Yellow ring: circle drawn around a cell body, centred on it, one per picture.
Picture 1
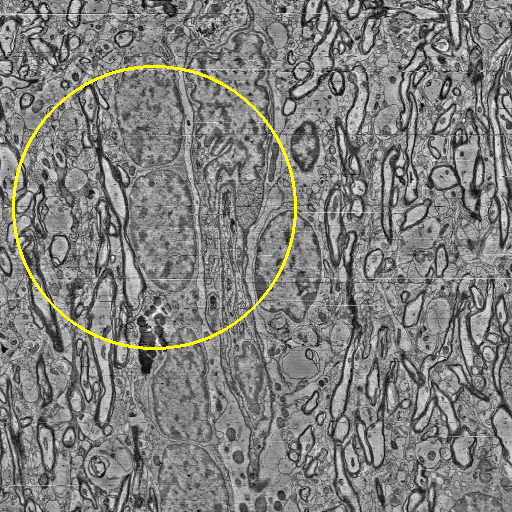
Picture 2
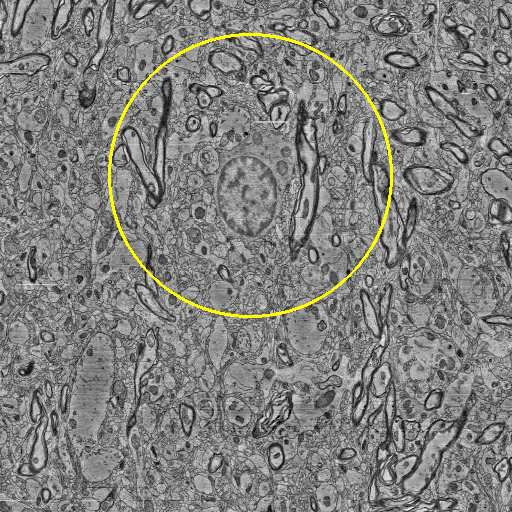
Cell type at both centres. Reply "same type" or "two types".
same type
